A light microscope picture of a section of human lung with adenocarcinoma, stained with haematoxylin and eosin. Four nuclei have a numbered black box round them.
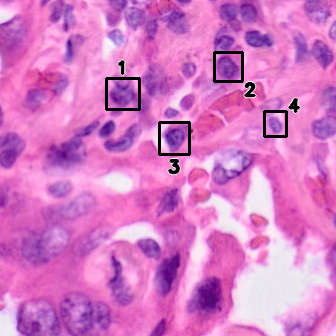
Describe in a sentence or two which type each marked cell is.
Cells 1 and 2 are plasma cells. Cells 3 and 4 are lymphocytes.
